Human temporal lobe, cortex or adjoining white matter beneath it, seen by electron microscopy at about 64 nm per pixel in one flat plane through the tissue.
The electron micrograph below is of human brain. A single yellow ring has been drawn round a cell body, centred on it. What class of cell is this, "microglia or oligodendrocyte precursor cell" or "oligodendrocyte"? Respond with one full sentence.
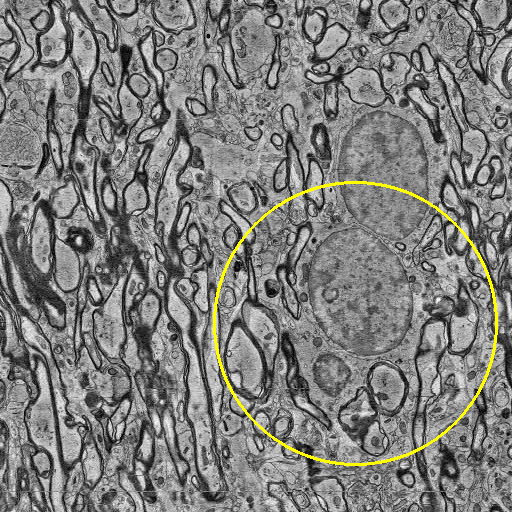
In the micrograph, the cell centred inside the yellow ring is an oligodendrocyte.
